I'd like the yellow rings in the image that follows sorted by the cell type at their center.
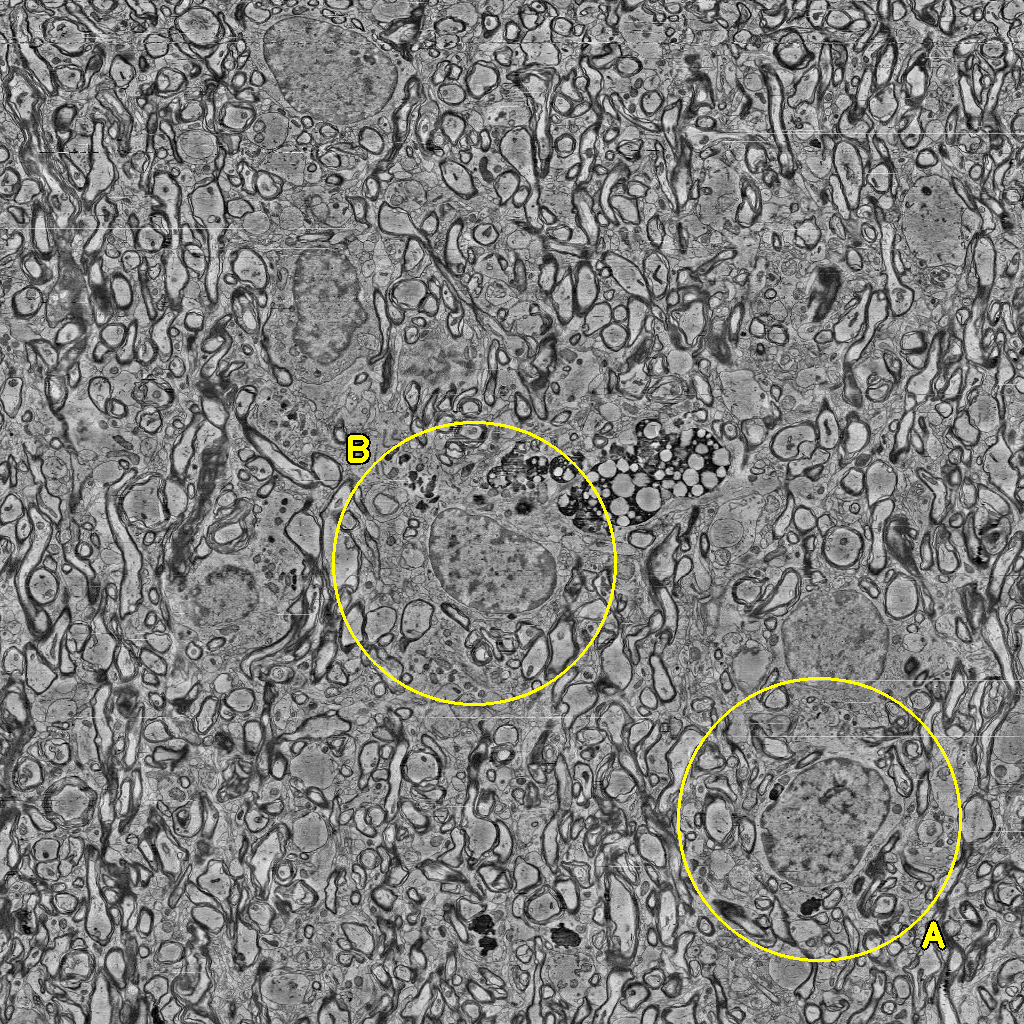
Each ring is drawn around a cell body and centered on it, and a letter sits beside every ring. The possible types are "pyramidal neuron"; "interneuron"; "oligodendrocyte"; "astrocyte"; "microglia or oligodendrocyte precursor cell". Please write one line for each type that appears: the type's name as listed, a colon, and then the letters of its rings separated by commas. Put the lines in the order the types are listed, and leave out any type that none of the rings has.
microglia or oligodendrocyte precursor cell: A, B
